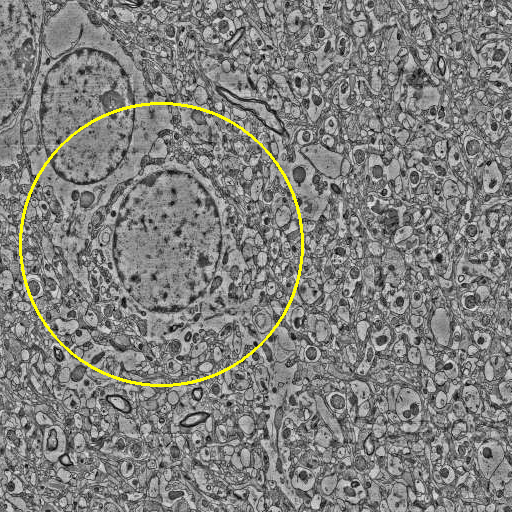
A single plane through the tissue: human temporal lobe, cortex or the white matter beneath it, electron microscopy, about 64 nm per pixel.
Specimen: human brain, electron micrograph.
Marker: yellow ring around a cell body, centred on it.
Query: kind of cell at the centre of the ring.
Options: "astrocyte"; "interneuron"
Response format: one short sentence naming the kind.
This cell body belongs to an astrocyte.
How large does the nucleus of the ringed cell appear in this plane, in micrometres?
In this plane, the nucleus is roughly 9 by 7 micrometres.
